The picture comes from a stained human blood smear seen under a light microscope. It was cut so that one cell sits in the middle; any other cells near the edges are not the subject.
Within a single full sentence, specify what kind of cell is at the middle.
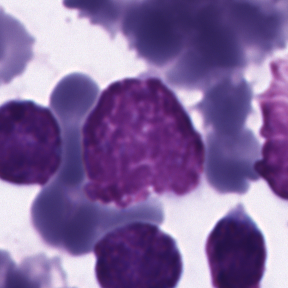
The centered cell in this crop is a blast.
